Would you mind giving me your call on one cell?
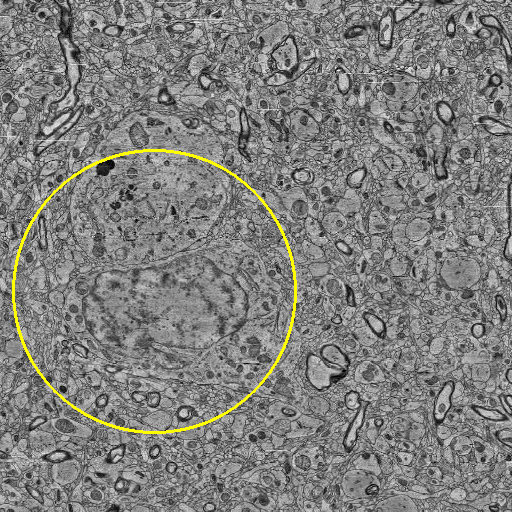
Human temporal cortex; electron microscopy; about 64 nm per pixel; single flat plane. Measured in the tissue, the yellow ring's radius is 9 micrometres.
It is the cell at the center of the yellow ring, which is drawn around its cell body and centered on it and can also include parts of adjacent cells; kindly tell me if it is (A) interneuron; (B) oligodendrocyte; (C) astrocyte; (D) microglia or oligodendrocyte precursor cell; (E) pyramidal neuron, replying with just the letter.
A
